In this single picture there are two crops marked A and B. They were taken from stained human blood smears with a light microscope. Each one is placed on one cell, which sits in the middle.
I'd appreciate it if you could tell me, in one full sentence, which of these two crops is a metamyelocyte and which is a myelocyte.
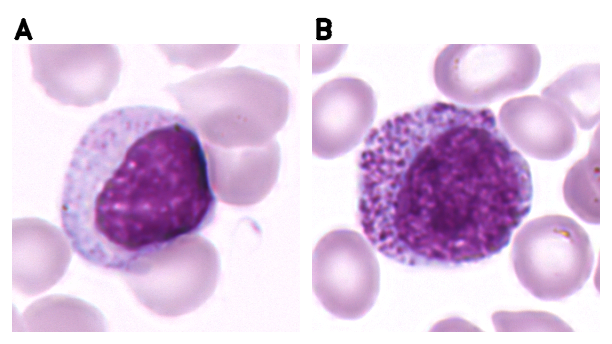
Within crop A sits a metamyelocyte, and within crop B sits a myelocyte.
